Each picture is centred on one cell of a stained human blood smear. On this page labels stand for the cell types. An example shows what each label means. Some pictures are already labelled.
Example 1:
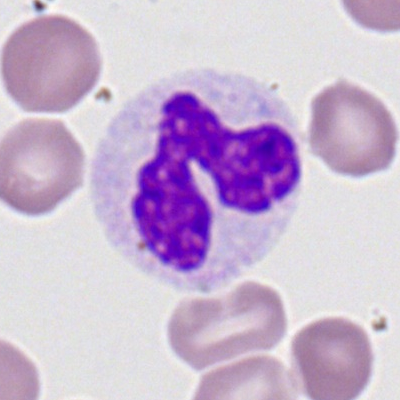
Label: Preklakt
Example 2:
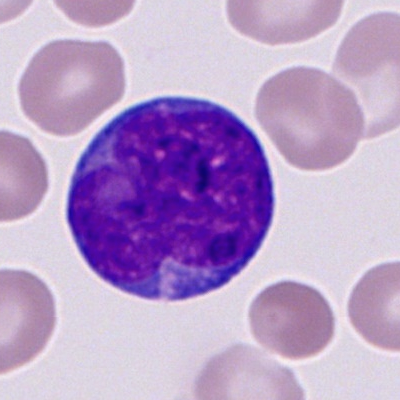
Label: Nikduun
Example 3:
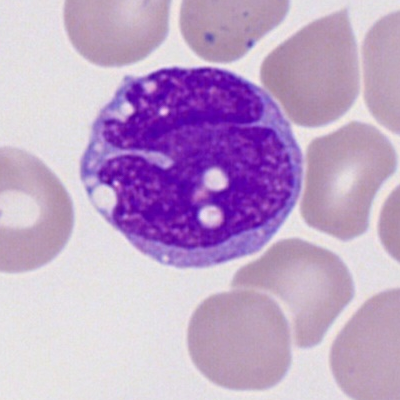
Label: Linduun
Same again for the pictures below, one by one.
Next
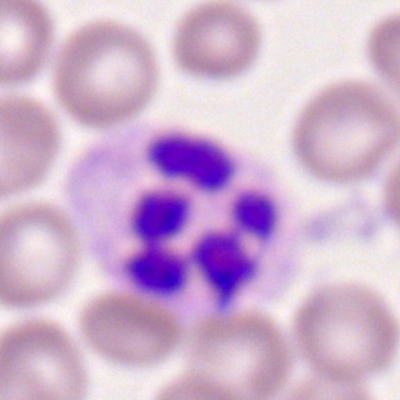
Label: Preklakt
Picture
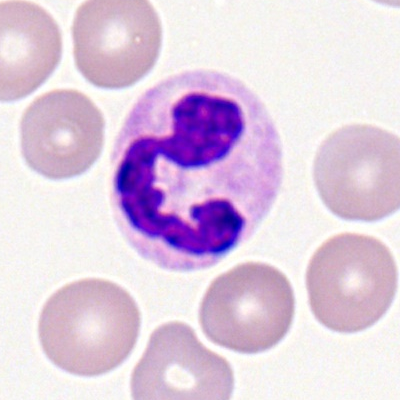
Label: Preklakt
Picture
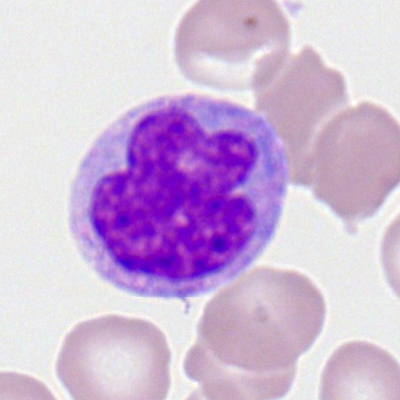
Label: Linduun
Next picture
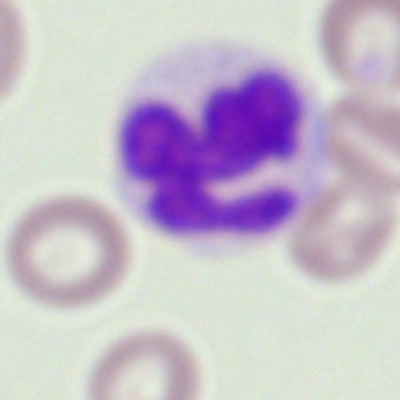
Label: Linduun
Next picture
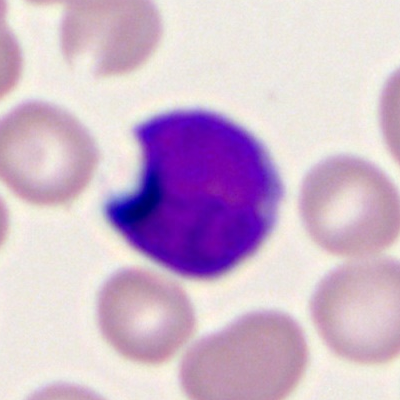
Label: Nikduun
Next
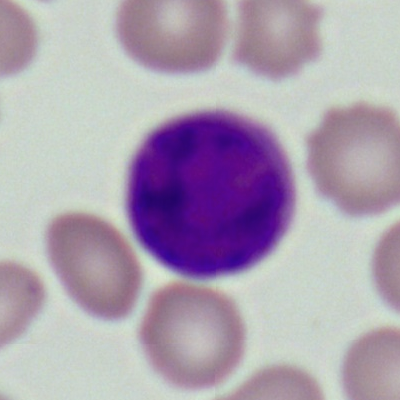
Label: Nikduun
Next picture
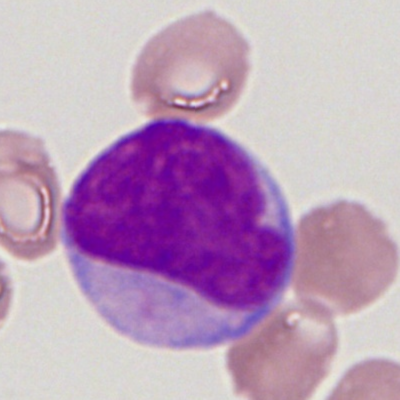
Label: Nikduun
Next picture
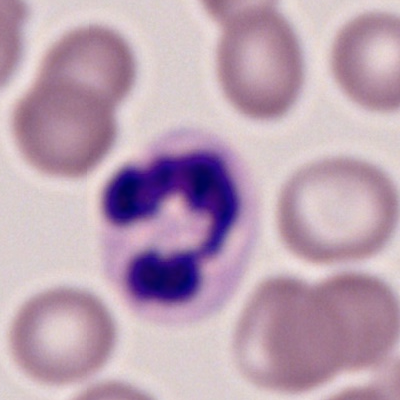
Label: Preklakt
